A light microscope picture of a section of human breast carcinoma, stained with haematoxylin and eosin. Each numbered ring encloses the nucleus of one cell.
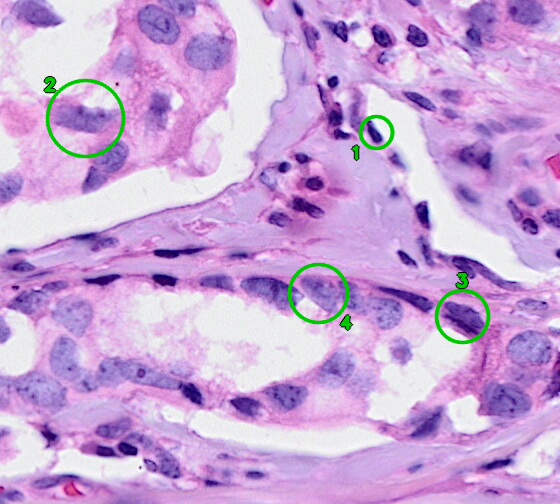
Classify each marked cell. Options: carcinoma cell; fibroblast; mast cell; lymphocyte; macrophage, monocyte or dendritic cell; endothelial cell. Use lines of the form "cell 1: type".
cell 1: lymphocyte
cell 2: carcinoma cell
cell 3: carcinoma cell
cell 4: carcinoma cell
